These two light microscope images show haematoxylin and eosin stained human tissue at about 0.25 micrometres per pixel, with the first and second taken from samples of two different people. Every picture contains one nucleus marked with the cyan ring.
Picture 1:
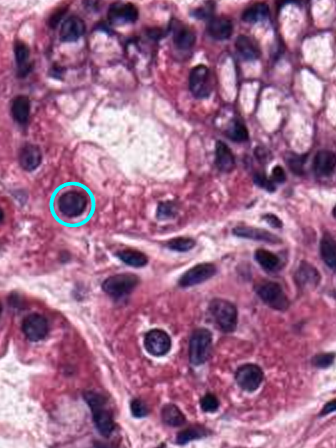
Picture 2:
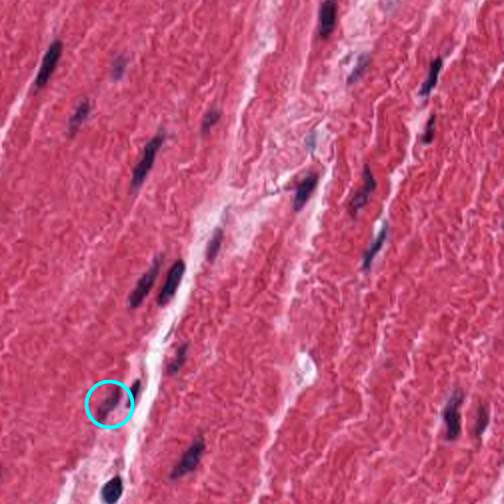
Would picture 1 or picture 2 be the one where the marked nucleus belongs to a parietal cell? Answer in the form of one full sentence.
The marked nucleus belonging to a parietal cell is the one in picture 1.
